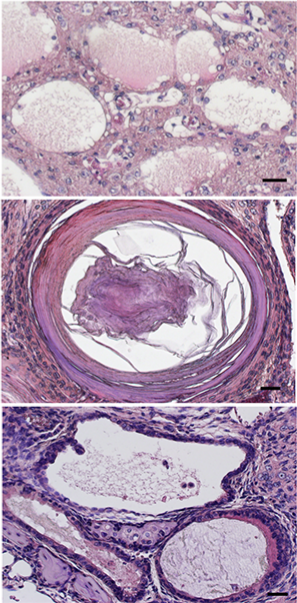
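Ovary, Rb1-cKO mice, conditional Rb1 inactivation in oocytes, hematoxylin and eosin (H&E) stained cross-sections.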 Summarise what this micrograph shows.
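Fields from a cystic teratoma show many cysts set in cellular stroma. The middle field shows a round cyst whose wall is built of thick concentric pink lamellae, layered like keratin, enclosing a central purplish flaky mass, surrounded by stromal cells. The lower field shows elongated and round cysts lined by a thin layer of flattened to cuboidal epithelial cells, containing pale wispy content, amid stroma with cells with rounded nuclei.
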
